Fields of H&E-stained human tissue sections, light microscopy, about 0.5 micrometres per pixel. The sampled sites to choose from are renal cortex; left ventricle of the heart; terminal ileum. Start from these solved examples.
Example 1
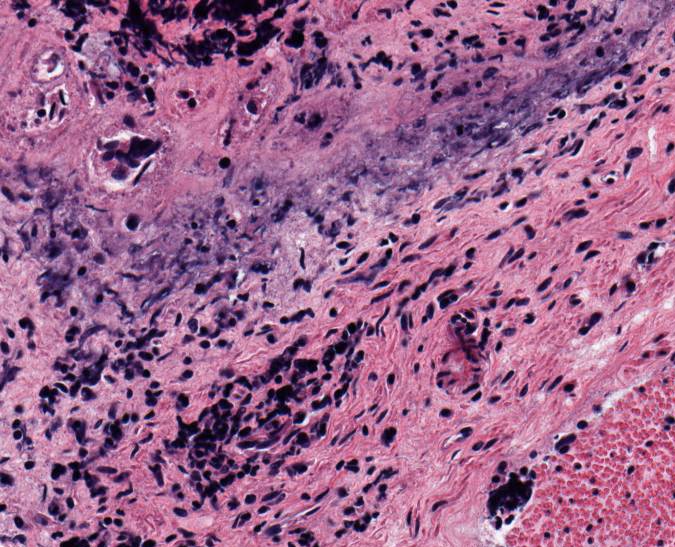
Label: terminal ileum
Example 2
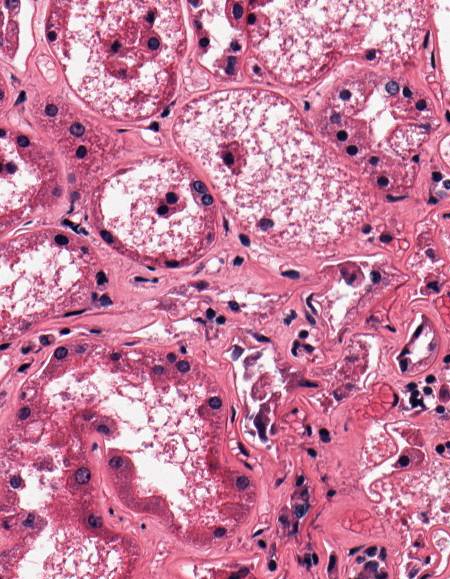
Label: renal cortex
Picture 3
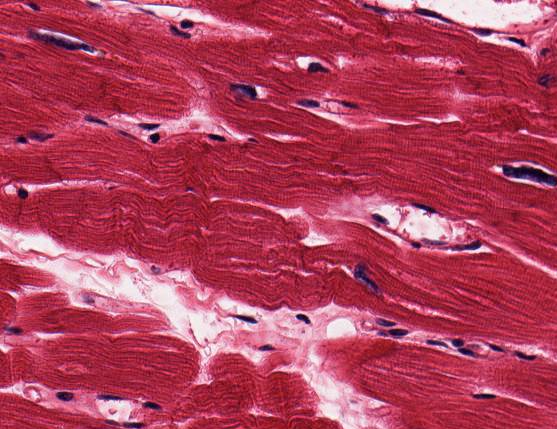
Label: left ventricle of the heart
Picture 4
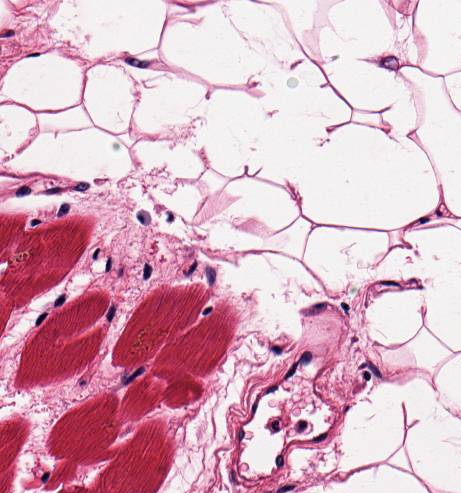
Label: left ventricle of the heart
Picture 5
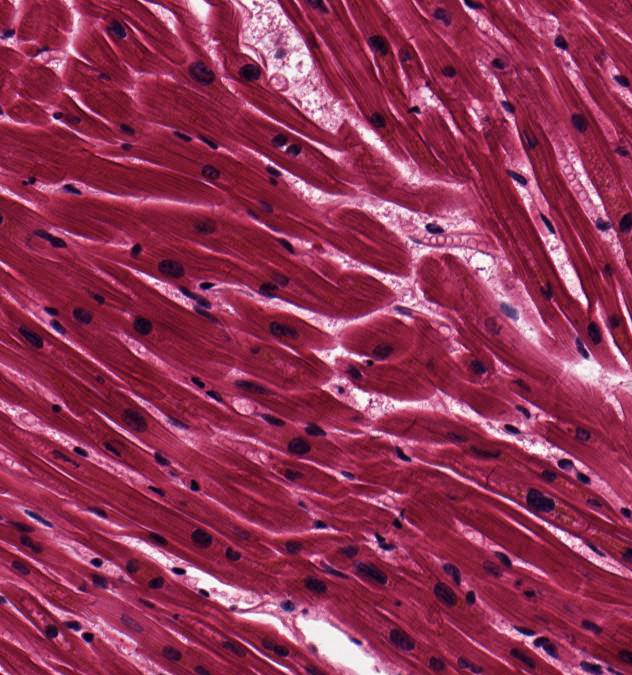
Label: left ventricle of the heart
